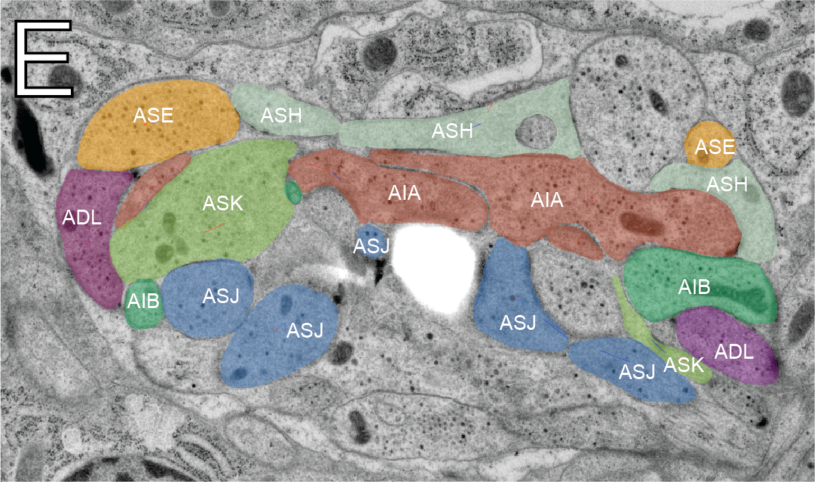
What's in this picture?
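This electron micrograph shows a cross-section of a nerve ring bundle in a nematode head, made of closely packed neurite profiles. The colored profiles form an elongated bundle running horizontally across the frame. A long reddish profile stretches through the middle of the bundle, flanked above by pale green and orange profiles and below by several rounded blue profiles. Smaller green and purple profiles lie at the two ends of the bundle. A bright white empty area lies within the bundle near its center, and cells with granular cytoplasm surround the bundle above and below.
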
